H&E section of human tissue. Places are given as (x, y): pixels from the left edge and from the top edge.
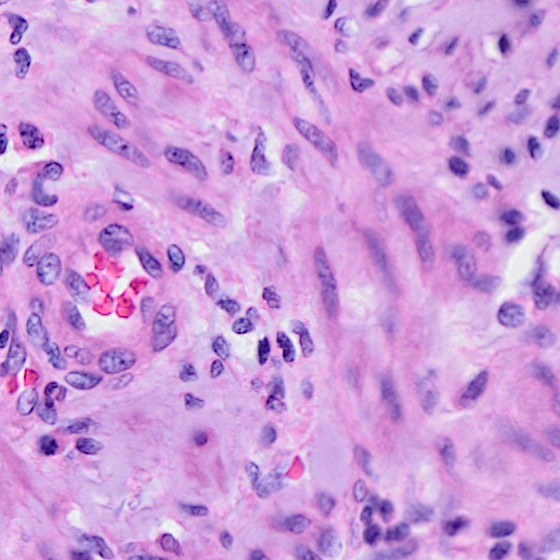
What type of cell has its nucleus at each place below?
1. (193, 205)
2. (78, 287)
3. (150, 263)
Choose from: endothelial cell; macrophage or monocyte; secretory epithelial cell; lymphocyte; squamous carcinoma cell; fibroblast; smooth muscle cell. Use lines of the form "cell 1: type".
cell 1: smooth muscle cell
cell 2: endothelial cell
cell 3: endothelial cell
